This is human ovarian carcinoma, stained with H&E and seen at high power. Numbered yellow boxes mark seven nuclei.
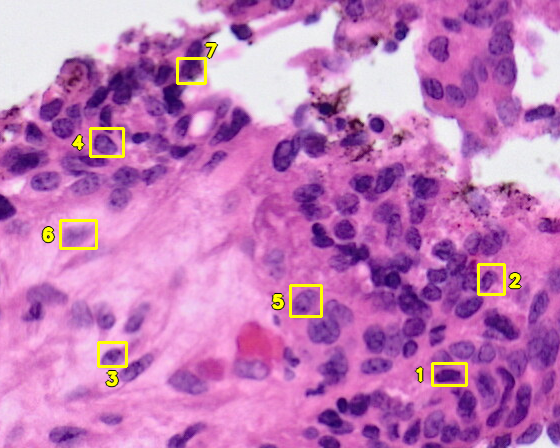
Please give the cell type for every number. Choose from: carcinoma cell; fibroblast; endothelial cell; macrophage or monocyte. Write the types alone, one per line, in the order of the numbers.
carcinoma cell
carcinoma cell
fibroblast
macrophage or monocyte
carcinoma cell
fibroblast
carcinoma cell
